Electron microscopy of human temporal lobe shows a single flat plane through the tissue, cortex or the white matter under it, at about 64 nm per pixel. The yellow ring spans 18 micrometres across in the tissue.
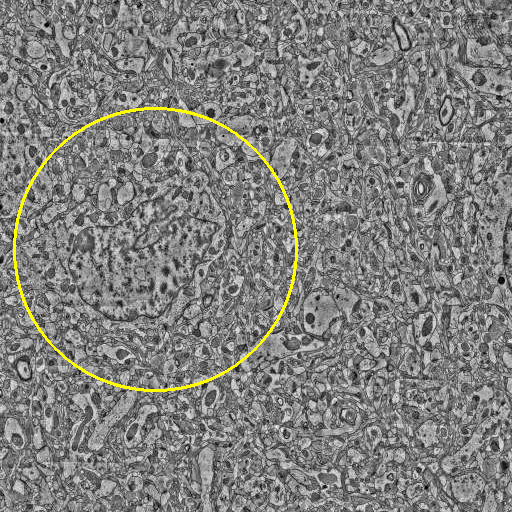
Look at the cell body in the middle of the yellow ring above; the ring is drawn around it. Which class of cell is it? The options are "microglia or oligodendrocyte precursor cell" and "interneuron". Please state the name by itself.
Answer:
interneuron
